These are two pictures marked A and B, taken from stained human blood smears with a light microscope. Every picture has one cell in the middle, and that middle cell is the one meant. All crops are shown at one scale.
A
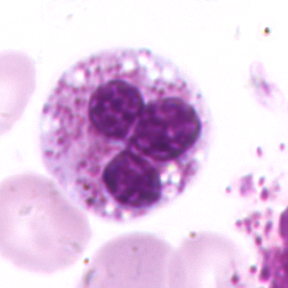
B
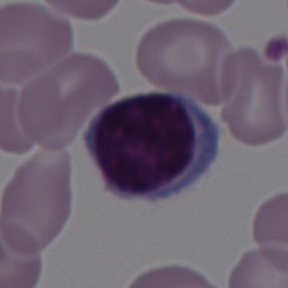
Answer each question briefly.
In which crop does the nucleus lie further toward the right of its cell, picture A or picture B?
A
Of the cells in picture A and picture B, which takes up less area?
B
